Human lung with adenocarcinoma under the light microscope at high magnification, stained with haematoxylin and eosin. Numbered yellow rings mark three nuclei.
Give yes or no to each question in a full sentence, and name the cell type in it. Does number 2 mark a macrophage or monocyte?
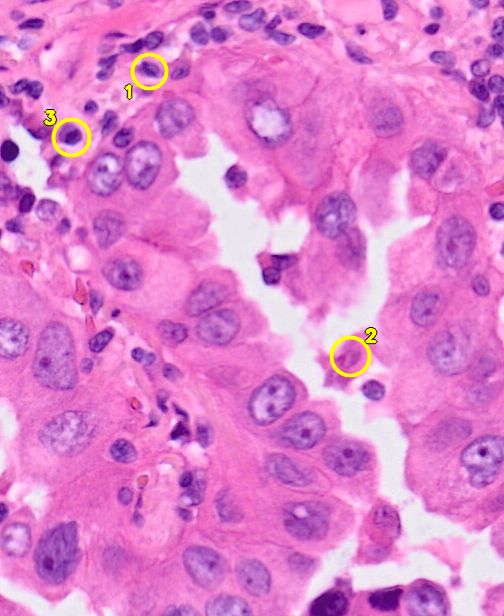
Yes, the cell marked with number 2 is a macrophage or monocyte.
